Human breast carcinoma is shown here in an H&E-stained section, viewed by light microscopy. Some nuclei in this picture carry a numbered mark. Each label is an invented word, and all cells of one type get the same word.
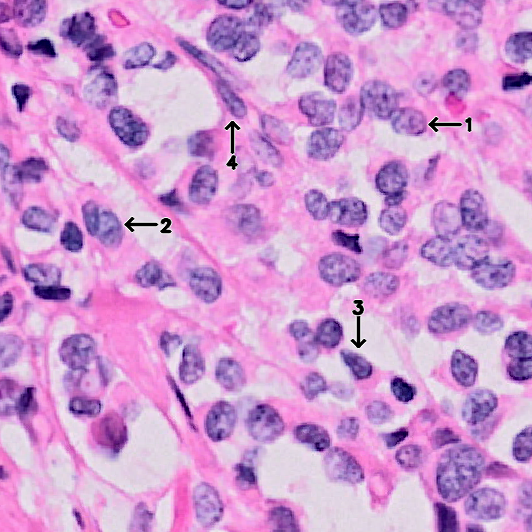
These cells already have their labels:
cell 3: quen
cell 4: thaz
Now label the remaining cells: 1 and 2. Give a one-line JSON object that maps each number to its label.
{"1": "quen", "2": "quen"}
